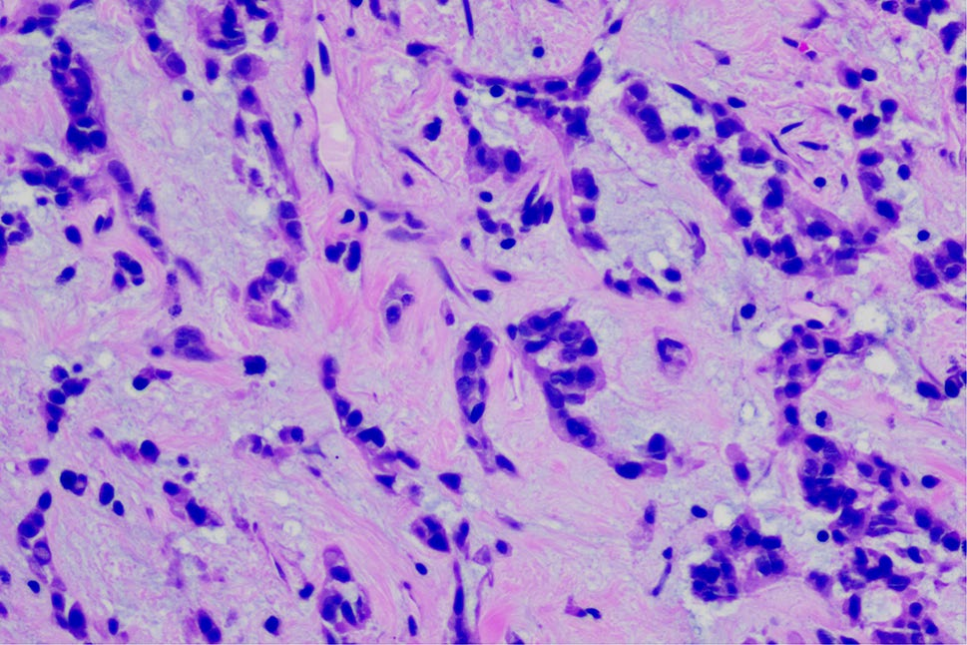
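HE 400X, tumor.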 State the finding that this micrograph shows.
mucoid background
